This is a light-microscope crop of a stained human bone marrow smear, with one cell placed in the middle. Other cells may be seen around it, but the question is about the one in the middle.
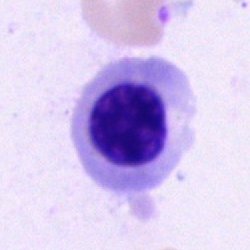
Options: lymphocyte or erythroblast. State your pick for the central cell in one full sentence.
In short, the cell at the center is an erythroblast.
